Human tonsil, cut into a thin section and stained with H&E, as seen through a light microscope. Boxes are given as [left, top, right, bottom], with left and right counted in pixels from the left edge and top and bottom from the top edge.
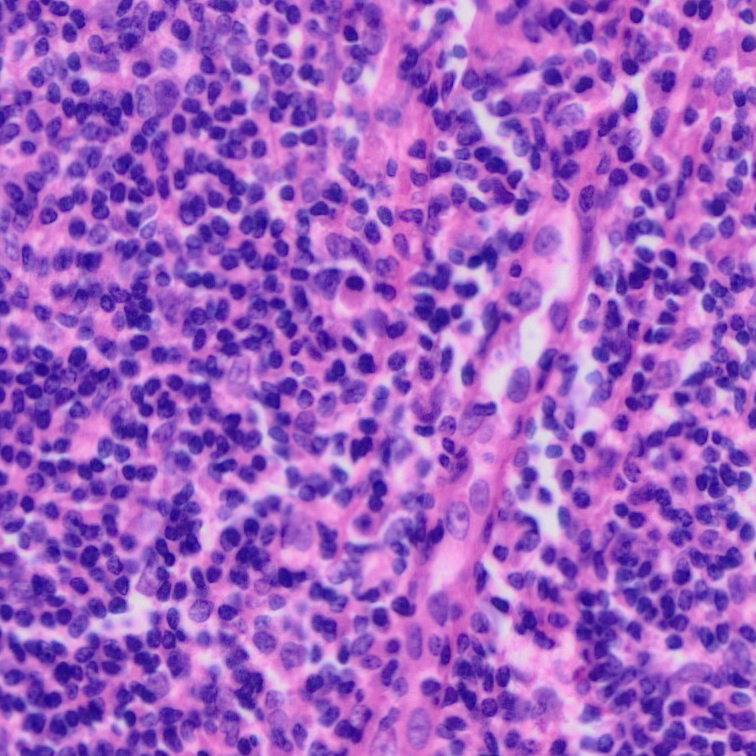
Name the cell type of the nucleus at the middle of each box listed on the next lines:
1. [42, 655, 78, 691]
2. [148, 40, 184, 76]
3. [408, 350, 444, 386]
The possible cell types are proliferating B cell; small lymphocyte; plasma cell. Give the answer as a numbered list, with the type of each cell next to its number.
1. small lymphocyte
2. proliferating B cell
3. plasma cell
